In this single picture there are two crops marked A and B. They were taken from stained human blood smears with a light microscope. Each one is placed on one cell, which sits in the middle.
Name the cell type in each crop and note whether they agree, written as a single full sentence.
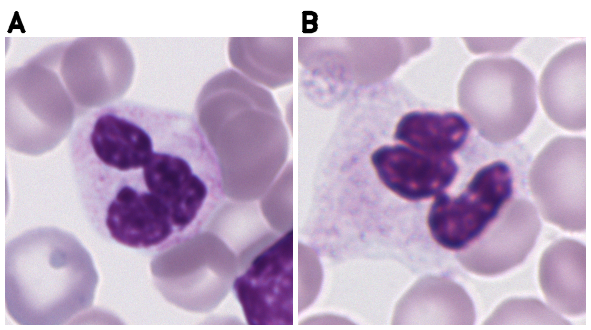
Yes, both the first crop and the second crop show neutrophils.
